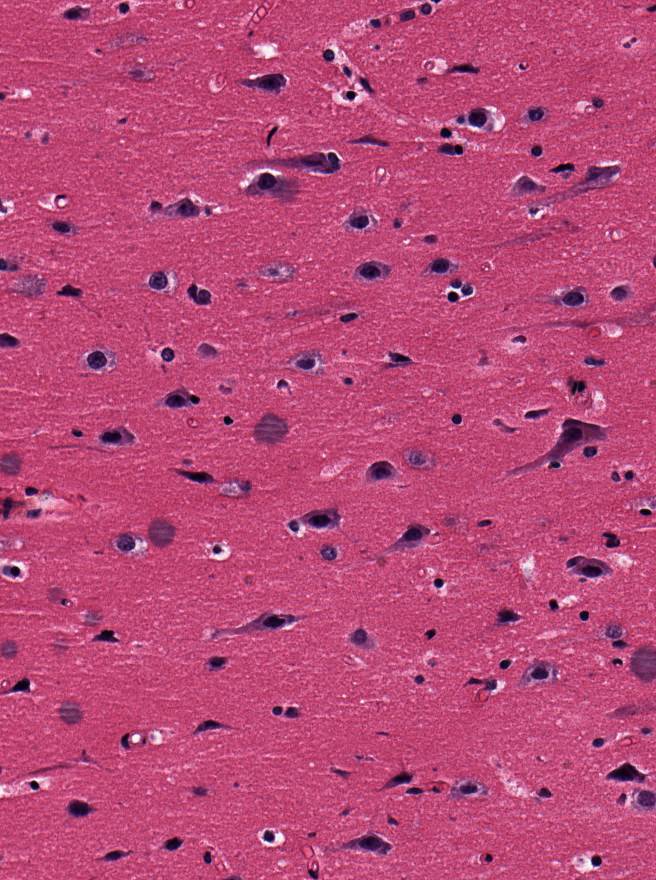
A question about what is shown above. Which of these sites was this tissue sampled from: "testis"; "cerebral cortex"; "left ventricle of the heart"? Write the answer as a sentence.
The site this tissue was sampled from is the cerebral cortex.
